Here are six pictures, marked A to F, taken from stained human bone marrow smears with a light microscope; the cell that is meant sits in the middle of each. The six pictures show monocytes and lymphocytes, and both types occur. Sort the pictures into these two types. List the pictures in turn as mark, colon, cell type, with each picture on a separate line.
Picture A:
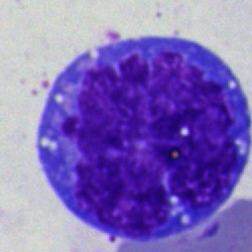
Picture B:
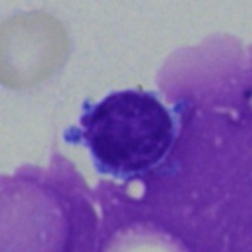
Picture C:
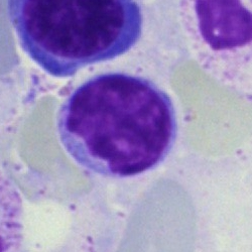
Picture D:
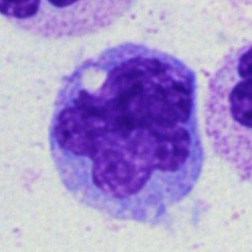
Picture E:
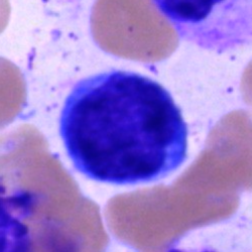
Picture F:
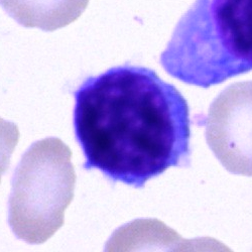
A: monocyte
B: lymphocyte
C: lymphocyte
D: monocyte
E: lymphocyte
F: lymphocyte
